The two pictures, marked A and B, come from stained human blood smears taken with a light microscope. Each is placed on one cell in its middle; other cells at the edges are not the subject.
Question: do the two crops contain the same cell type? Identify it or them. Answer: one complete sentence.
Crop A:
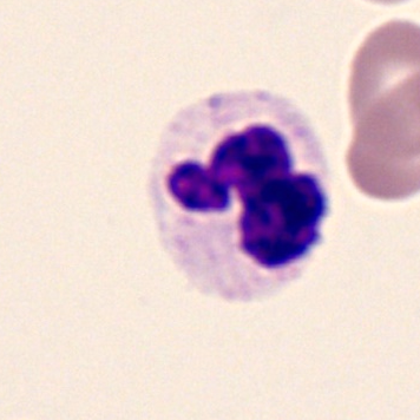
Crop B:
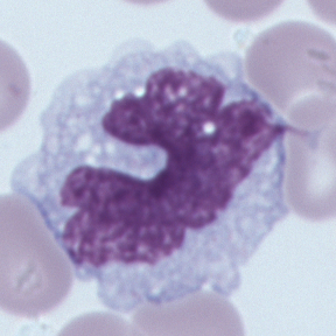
No, enter a segmented neutrophil for crop A and a monocyte for crop B.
